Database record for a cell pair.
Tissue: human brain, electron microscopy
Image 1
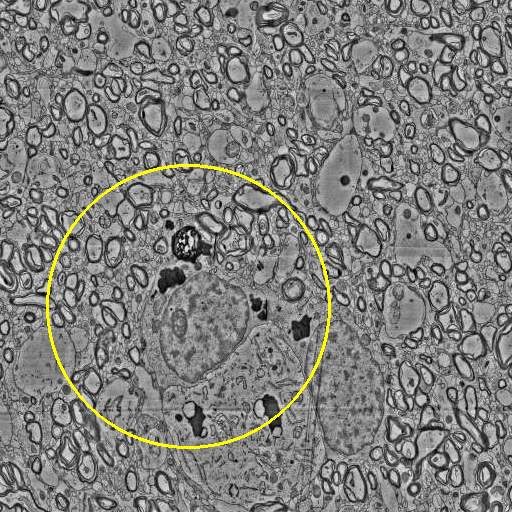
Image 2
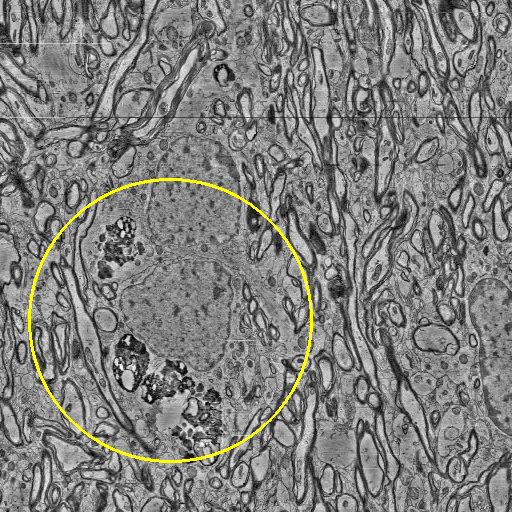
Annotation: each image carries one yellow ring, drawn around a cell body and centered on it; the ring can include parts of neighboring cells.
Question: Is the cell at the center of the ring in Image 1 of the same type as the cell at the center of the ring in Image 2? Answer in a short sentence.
No, the cells are of two types.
